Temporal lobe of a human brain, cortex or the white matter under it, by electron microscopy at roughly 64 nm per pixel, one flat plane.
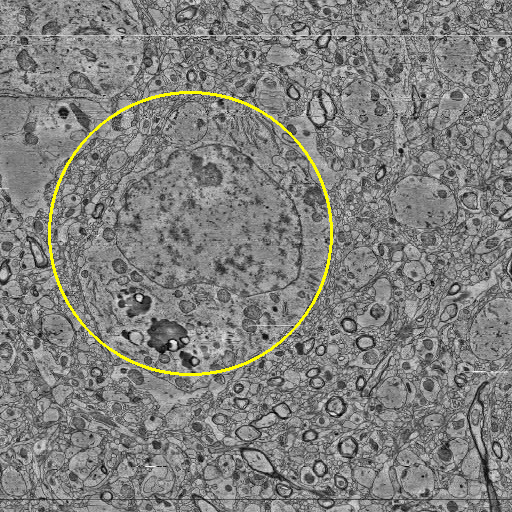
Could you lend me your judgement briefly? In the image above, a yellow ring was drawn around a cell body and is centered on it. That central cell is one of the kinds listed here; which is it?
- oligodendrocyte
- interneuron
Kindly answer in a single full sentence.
Going by the list, an interneuron is the kind at the ring's center in the picture.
